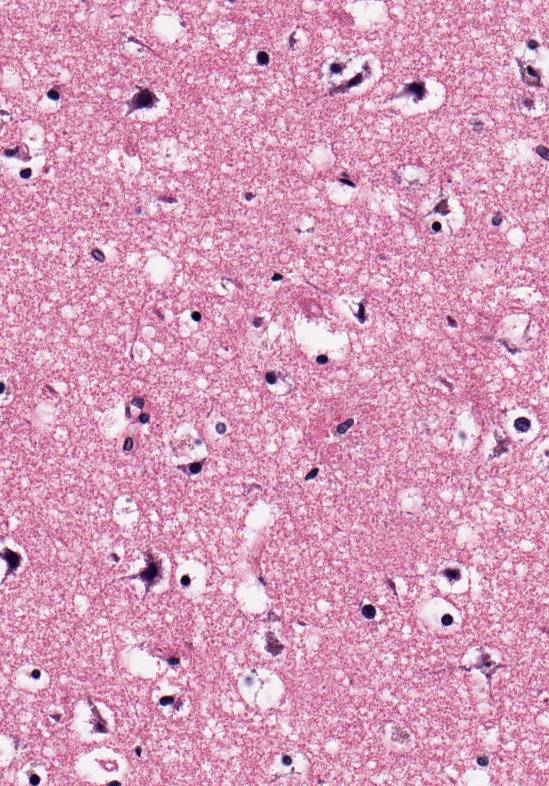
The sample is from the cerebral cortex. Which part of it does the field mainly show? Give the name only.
cellular layers of the cortex (layers II to VI)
